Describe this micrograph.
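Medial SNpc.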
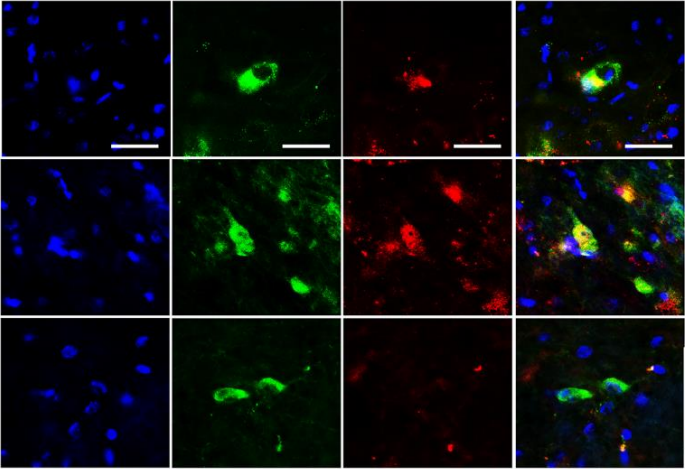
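The neurons have rounded to angular cell bodies, some with short processes. Small oval blue nuclei are scattered through the surrounding tissue. The red label forms dots and clumps; where it lies over the green neuronal cell bodies the merged images show yellow. The amount of red differs between rows, being sparse in the bottom row.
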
